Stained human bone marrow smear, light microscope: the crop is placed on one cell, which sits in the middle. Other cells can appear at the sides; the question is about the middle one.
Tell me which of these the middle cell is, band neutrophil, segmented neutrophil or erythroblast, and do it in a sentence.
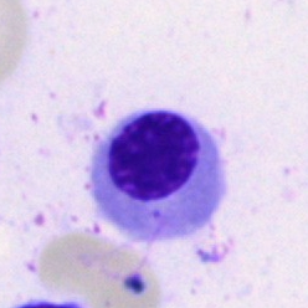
The centrally positioned cell in the crop represents an erythroblast.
